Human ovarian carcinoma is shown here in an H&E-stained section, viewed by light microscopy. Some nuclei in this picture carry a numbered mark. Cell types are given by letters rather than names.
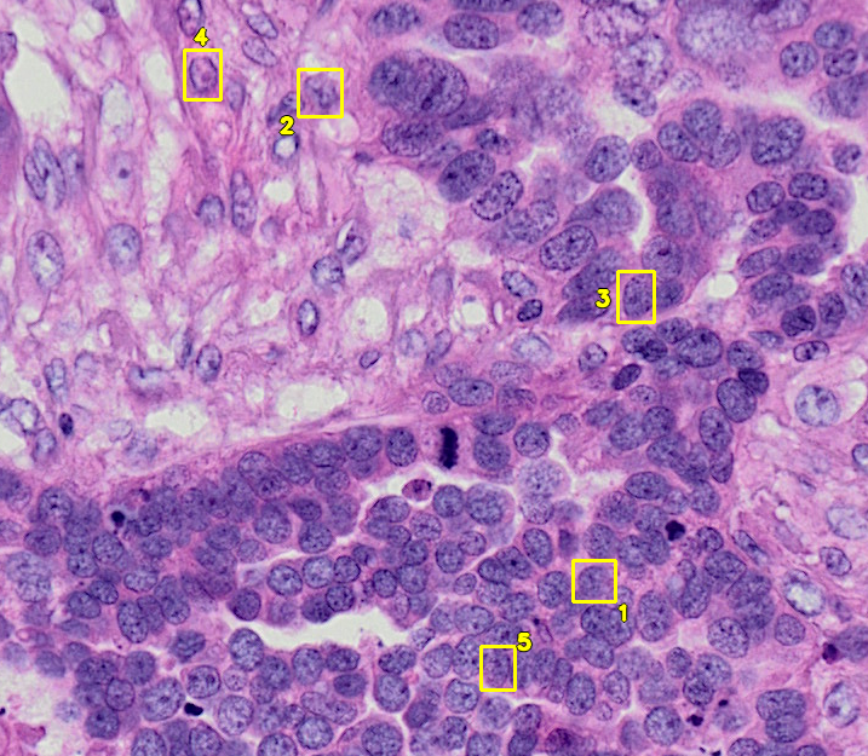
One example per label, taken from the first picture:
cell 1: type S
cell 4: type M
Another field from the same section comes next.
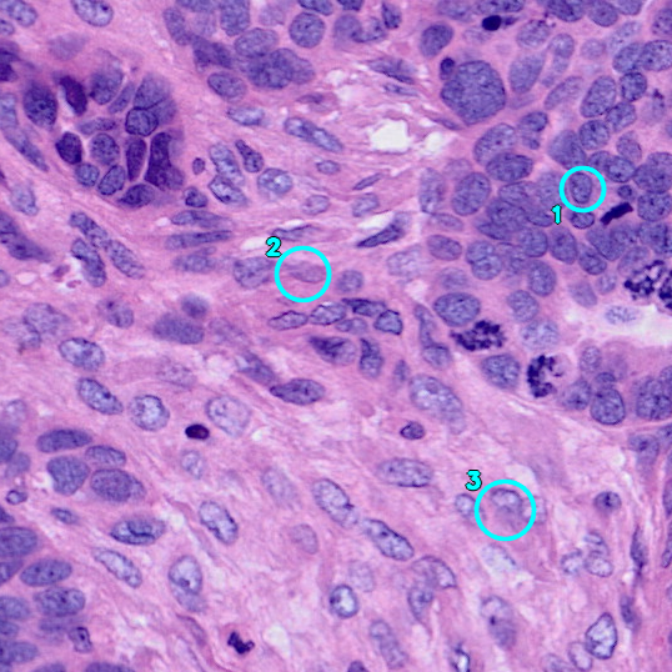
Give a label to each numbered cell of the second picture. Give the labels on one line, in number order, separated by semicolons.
type S; type M; type M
